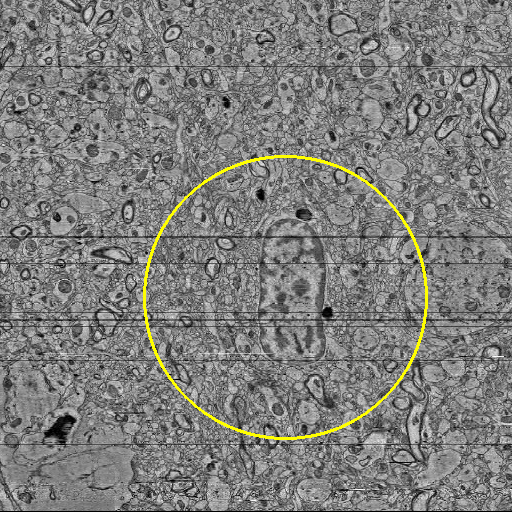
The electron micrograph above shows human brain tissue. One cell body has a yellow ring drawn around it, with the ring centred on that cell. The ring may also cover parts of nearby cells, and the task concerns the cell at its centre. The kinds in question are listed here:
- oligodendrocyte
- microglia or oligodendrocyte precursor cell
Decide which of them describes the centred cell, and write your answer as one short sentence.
The centred cell is a microglial cell or oligodendrocyte precursor cell.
